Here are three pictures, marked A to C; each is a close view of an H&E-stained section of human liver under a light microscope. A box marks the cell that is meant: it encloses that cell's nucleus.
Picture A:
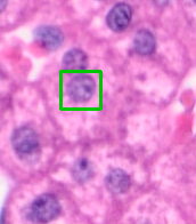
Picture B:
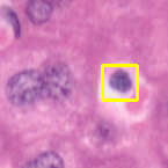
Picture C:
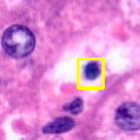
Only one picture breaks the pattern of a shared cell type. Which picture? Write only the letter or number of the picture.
A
